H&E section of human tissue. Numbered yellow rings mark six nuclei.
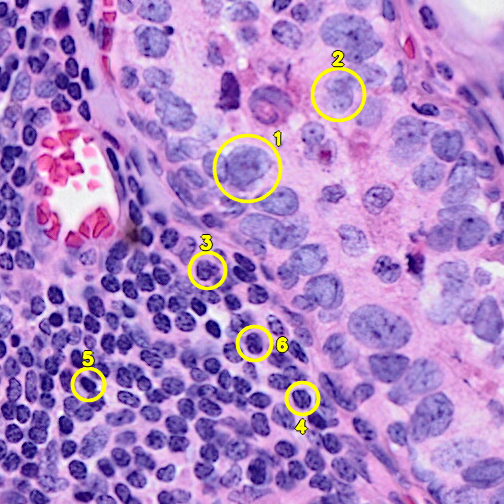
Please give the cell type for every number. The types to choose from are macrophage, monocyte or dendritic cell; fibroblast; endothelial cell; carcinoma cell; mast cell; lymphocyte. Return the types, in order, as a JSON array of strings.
["carcinoma cell", "carcinoma cell", "lymphocyte", "lymphocyte", "lymphocyte", "lymphocyte"]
